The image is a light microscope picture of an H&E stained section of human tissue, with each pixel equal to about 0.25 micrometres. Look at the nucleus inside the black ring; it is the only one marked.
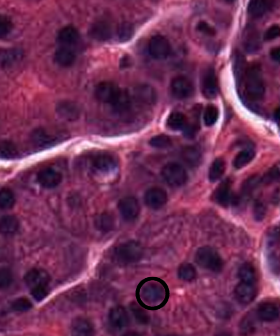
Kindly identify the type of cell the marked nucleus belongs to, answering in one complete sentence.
A nucleus of a pancreatic acinar cell is the one that is marked.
